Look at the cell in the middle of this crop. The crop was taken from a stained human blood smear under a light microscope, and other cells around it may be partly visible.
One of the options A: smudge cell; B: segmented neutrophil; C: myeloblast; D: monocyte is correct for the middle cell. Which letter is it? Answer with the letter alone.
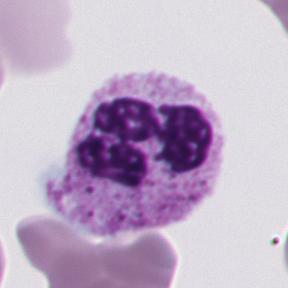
B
